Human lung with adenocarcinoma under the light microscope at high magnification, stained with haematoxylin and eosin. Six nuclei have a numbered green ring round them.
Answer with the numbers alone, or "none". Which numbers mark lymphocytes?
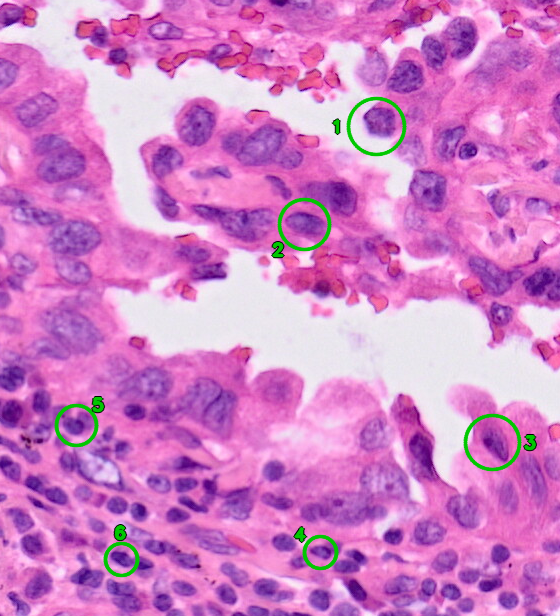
4, 5, 6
